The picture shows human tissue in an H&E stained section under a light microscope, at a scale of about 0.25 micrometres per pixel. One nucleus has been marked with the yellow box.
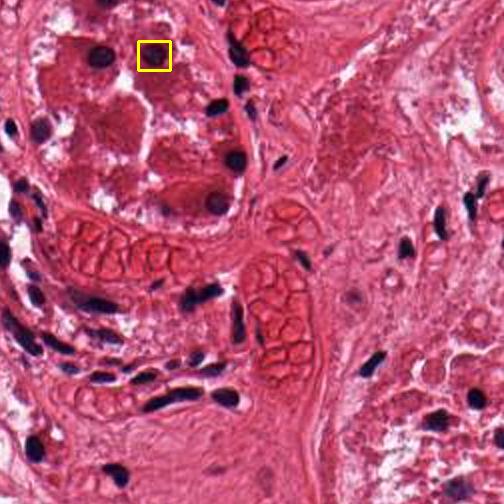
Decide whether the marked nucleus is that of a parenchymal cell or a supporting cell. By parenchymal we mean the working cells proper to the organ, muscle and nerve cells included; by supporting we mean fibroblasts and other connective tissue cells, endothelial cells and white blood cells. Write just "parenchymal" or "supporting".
parenchymal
